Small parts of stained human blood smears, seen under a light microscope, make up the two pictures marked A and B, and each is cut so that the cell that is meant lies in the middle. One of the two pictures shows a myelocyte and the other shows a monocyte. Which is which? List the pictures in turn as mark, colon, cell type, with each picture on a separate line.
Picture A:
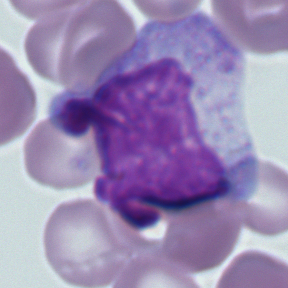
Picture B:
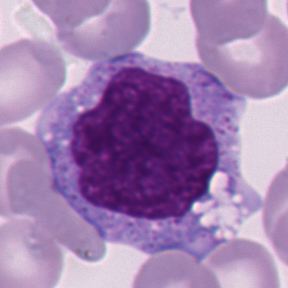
A: myelocyte
B: monocyte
